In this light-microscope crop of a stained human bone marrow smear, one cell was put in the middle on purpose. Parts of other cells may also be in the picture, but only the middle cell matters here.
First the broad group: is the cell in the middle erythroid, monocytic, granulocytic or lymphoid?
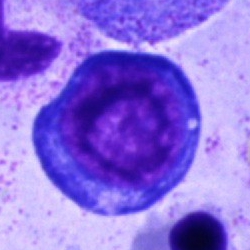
erythroid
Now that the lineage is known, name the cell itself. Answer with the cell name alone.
proerythroblast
